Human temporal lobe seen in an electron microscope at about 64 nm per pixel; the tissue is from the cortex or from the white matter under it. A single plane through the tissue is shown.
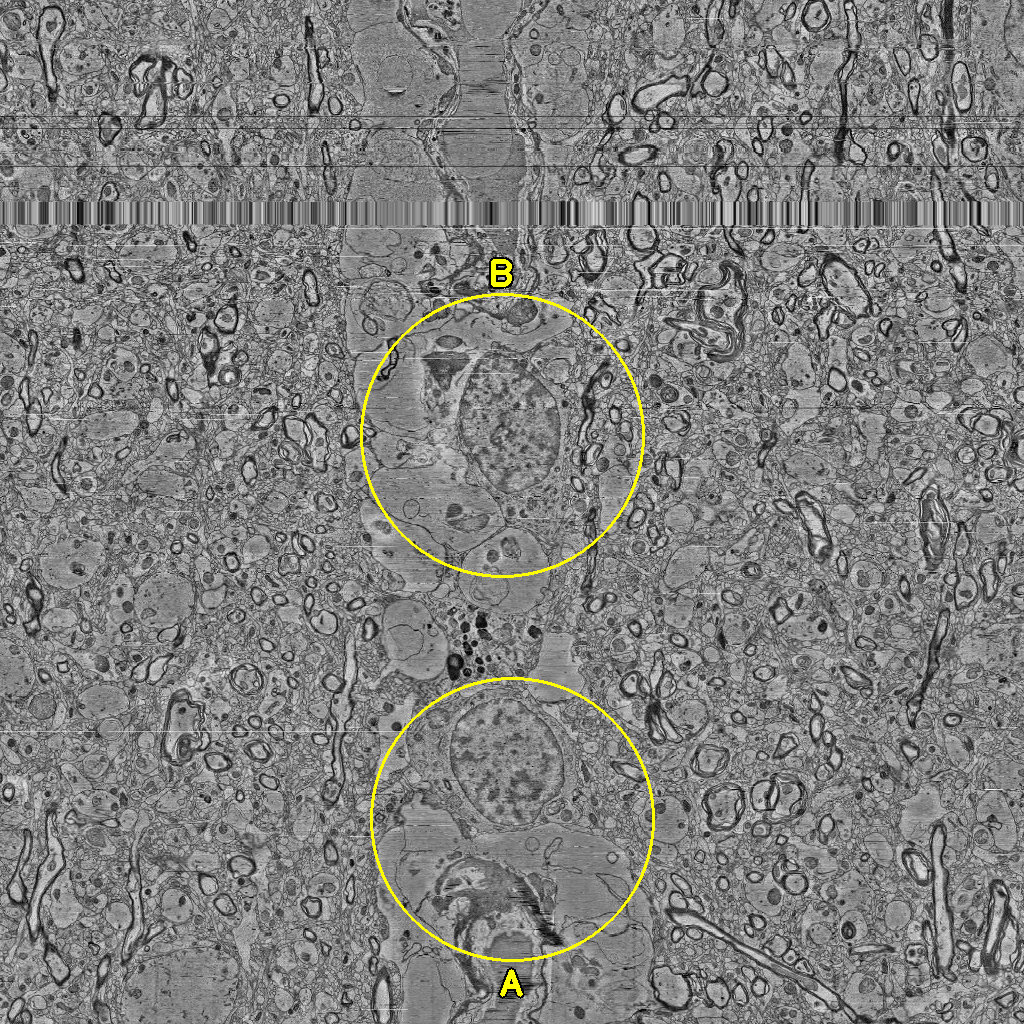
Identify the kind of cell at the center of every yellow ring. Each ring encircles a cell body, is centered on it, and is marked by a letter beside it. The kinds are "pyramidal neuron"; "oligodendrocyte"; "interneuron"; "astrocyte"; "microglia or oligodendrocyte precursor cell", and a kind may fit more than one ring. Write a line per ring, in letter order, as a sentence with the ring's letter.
The cell centered in ring A is an oligodendrocyte.
The cell centered in ring B is an oligodendrocyte.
